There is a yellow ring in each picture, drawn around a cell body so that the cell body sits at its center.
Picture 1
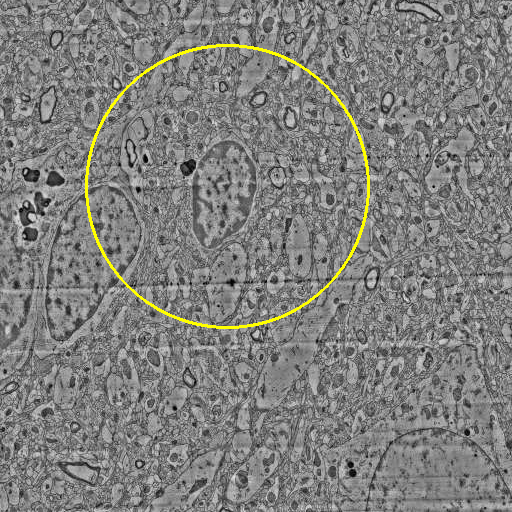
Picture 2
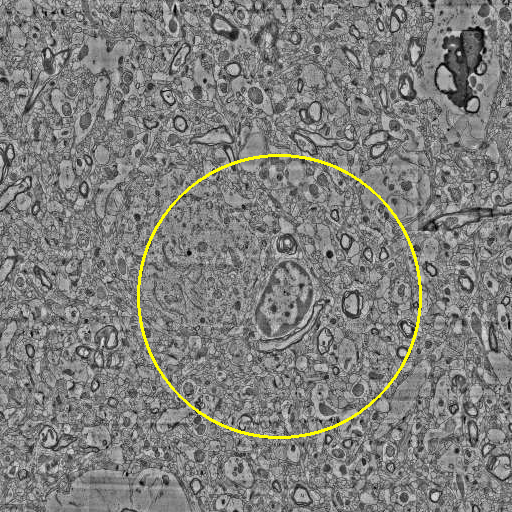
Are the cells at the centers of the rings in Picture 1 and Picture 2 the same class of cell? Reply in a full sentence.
Yes, the two cells are the same class of cell.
